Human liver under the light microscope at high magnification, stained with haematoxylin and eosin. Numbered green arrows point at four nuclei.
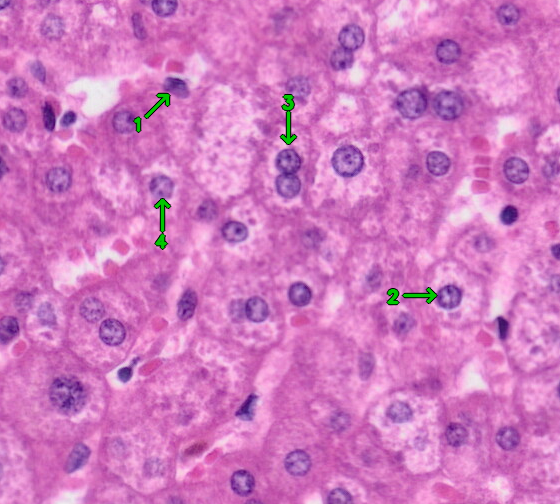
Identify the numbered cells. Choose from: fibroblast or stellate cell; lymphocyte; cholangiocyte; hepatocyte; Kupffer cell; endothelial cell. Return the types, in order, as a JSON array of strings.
["endothelial cell", "hepatocyte", "hepatocyte", "hepatocyte"]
